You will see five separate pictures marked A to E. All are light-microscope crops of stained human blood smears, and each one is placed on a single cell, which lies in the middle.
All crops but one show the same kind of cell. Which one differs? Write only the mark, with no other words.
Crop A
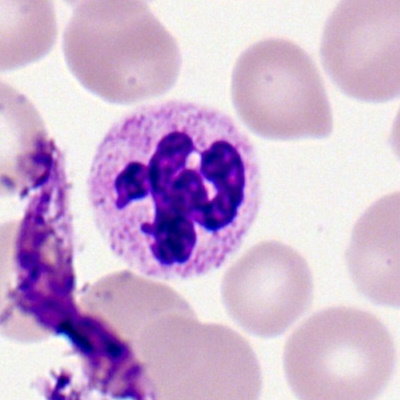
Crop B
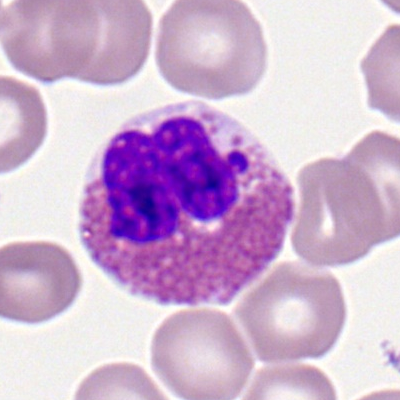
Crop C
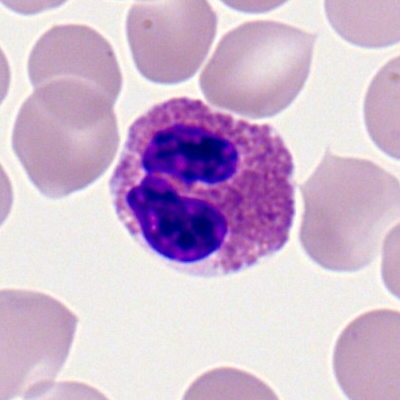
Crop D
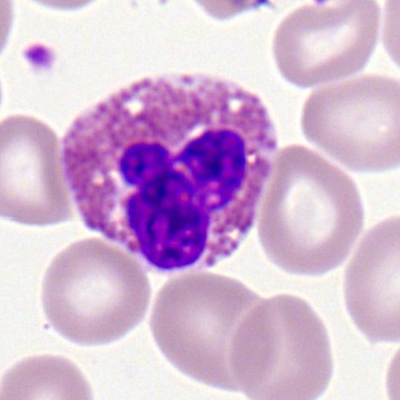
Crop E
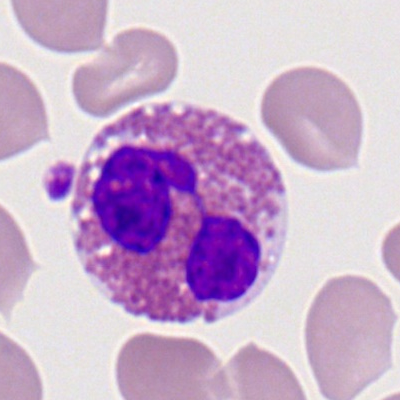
A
